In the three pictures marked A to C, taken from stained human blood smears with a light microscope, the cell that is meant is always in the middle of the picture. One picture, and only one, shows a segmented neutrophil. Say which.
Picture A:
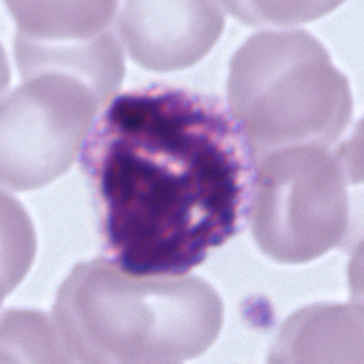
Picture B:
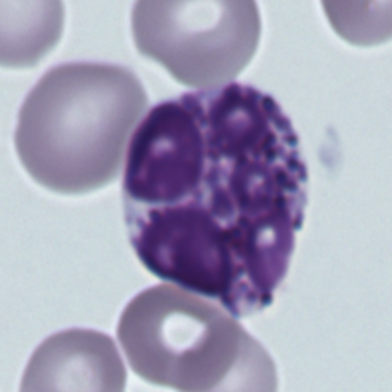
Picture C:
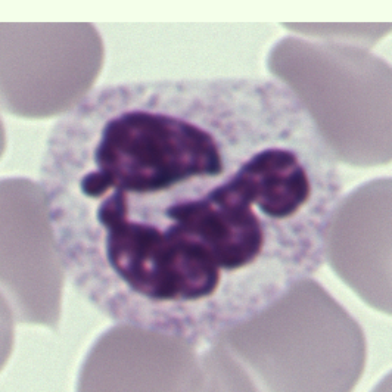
C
